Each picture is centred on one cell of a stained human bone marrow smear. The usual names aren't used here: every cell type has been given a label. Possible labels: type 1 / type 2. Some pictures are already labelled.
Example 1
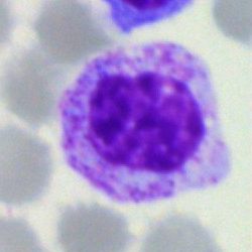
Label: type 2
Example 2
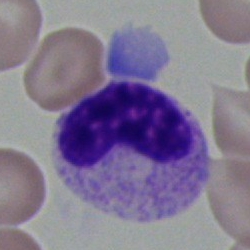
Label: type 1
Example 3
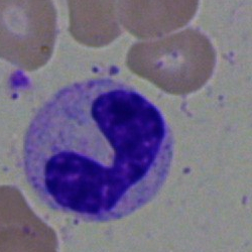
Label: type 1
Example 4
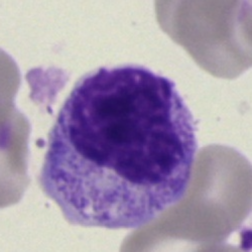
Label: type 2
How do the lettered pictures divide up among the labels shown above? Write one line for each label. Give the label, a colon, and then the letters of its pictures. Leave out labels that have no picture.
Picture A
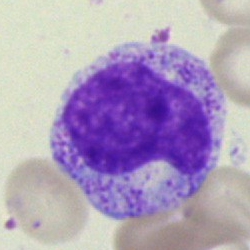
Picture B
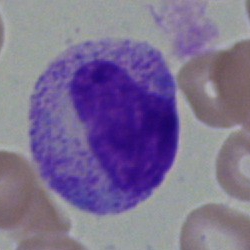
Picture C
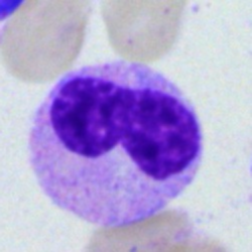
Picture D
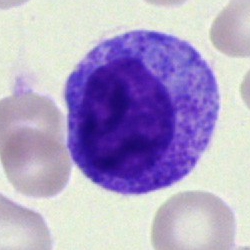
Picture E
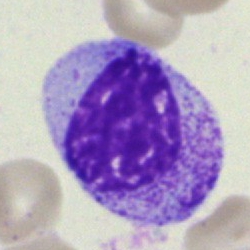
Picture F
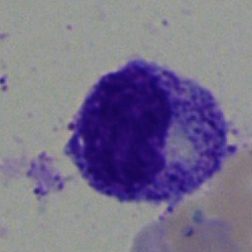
type 1: C
type 2: A, B, D, E, F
